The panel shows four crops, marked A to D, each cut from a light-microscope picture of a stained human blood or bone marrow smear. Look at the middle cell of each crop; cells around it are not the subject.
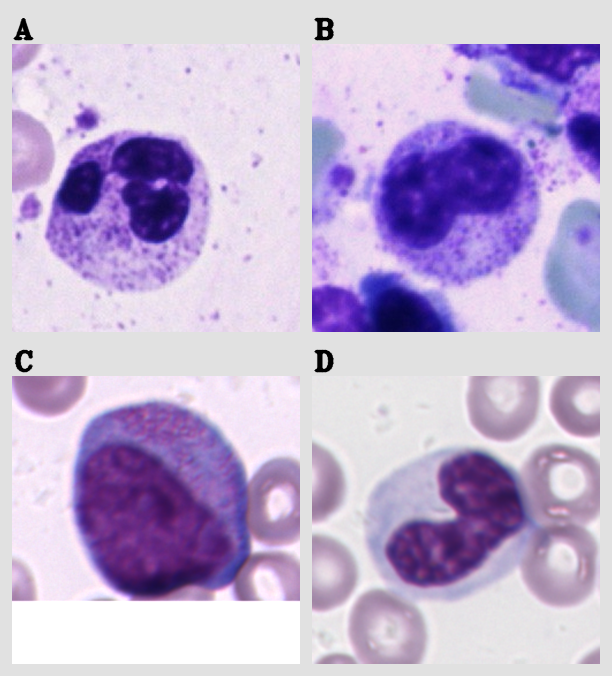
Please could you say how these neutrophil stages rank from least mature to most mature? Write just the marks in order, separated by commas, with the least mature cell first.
C, B, D, A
